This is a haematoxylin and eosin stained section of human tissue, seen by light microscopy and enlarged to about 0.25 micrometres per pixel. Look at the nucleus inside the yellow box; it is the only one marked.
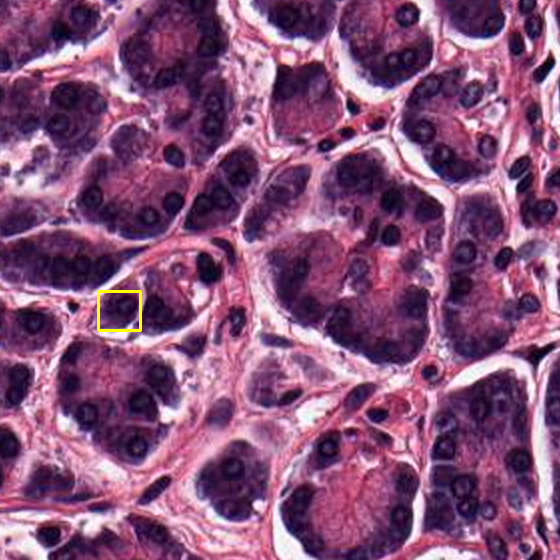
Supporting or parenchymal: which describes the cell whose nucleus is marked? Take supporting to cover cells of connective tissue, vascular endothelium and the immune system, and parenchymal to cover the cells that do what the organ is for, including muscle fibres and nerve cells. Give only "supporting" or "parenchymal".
parenchymal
